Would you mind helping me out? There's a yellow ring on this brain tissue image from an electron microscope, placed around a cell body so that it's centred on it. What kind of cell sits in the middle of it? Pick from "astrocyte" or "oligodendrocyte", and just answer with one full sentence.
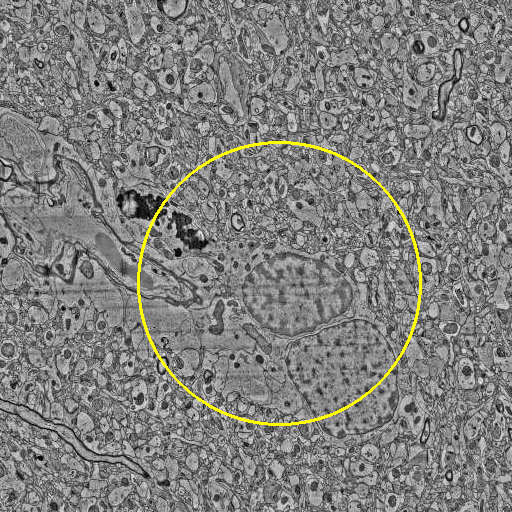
What sits in the middle of that yellow ring is an oligodendrocyte, from your choices.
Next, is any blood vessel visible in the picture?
Yes, a blood vessel shows in the picture.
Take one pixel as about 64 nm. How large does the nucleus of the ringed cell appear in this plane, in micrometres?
The nucleus is approximately 7 micrometers long by 5 micrometers wide in this plane.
